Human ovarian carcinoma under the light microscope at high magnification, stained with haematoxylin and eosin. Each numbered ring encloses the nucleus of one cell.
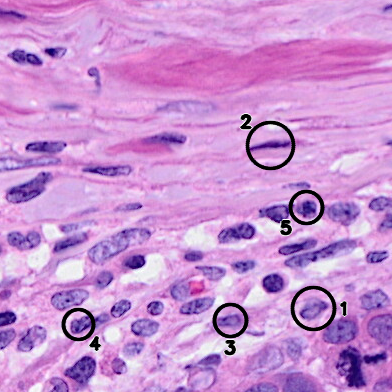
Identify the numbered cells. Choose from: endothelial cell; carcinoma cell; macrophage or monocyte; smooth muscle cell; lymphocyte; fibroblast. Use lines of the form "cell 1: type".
cell 1: macrophage or monocyte
cell 2: fibroblast
cell 3: macrophage or monocyte
cell 4: lymphocyte
cell 5: lymphocyte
